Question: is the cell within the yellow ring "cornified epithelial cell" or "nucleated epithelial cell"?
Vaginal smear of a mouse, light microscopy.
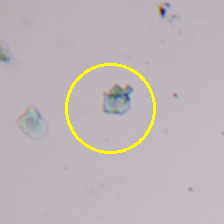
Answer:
cornified epithelial cell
